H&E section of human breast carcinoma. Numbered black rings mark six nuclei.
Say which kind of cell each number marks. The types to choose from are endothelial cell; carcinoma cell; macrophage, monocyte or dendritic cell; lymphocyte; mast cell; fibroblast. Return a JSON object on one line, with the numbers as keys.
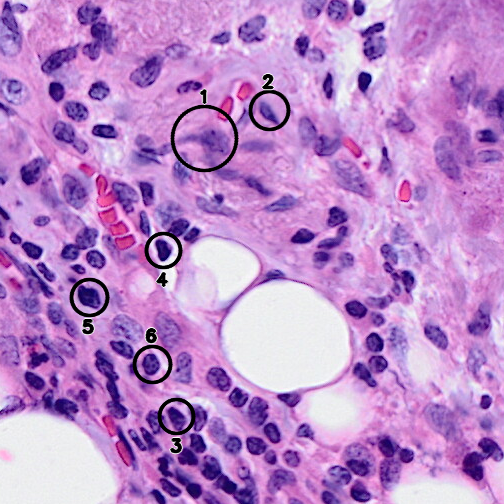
{"1": "endothelial cell", "2": "endothelial cell", "3": "lymphocyte", "4": "lymphocyte", "5": "lymphocyte", "6": "lymphocyte"}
